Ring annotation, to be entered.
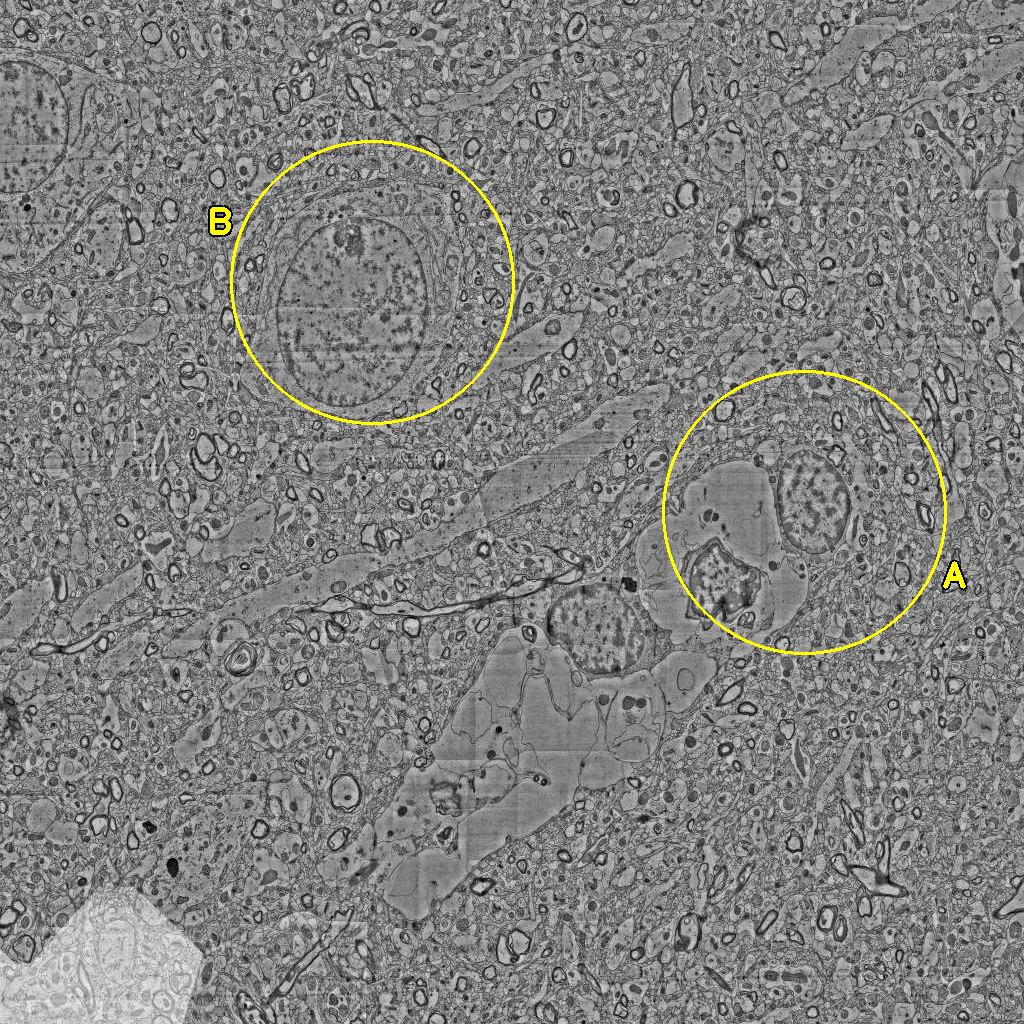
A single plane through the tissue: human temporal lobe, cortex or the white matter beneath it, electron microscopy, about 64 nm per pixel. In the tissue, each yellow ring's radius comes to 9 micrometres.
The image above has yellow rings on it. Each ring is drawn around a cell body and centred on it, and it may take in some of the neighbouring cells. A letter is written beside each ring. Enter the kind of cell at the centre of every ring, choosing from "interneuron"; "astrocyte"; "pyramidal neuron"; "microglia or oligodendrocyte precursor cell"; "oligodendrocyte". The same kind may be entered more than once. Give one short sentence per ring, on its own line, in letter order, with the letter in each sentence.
The ring marked A is centred on an oligodendrocyte.
The ring marked B is centred on an interneuron.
